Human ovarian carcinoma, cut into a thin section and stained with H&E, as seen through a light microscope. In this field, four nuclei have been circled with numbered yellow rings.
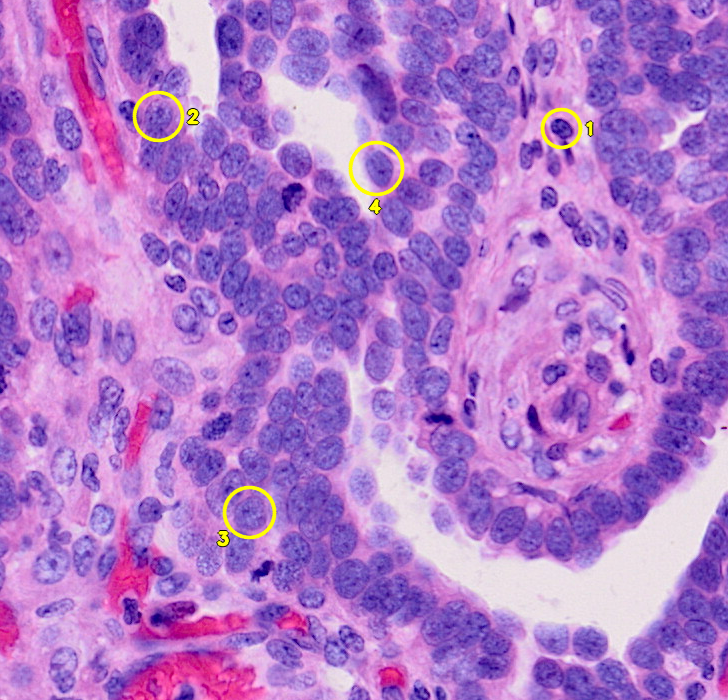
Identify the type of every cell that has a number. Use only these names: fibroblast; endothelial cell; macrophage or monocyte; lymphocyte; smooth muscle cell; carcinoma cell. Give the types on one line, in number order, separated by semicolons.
lymphocyte; carcinoma cell; carcinoma cell; carcinoma cell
